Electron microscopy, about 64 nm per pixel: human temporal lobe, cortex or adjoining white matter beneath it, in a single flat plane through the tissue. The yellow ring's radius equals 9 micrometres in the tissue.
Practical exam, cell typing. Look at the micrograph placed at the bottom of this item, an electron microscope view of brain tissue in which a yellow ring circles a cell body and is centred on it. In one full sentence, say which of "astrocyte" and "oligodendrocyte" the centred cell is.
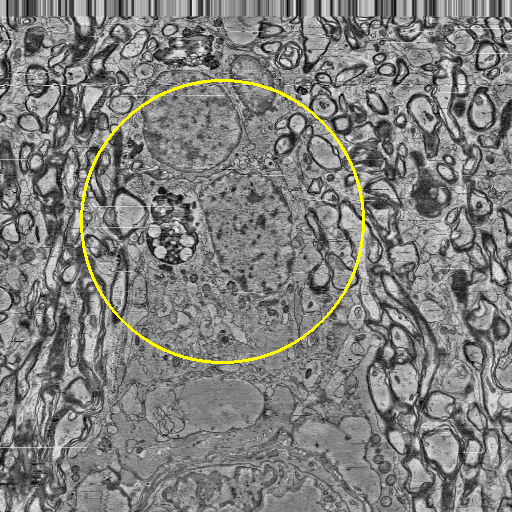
Given the options, an astrocyte fits the cell whose body the yellow ring is centred on.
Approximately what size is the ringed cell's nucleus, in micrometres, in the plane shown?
The nucleus comes to approximately 8 by 5 micrometres and is clearly longer than it is wide in this plane.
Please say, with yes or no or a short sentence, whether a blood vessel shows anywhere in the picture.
Yes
